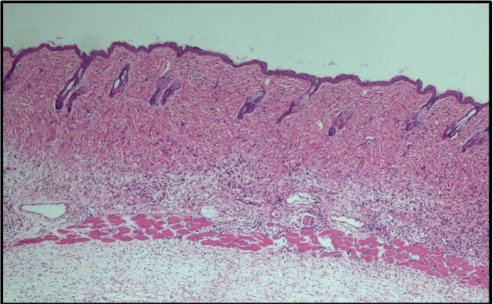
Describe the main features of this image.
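This is haired skin in section with short hair follicles. A thin, purple epidermis covers the surface. Small, slender, purple follicles slant down from it but stay within the upper pink collagen of the dermis. The deeper dermis is crowded with scattered small, dark nuclei and has a looser, paler texture. A few small vessels lie in the deeper dermis. Lower down, a band of red-staining muscle fibres runs horizontally above pale, loose connective tissue. Fat cells are few.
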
